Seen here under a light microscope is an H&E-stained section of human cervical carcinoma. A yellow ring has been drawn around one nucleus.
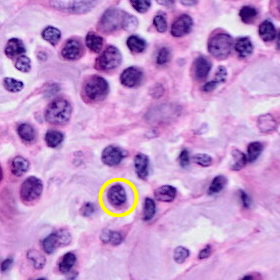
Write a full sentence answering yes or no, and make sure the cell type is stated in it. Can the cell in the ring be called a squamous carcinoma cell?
No, for the cell in the ring the correct label is a lymphocyte and not a squamous carcinoma cell.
